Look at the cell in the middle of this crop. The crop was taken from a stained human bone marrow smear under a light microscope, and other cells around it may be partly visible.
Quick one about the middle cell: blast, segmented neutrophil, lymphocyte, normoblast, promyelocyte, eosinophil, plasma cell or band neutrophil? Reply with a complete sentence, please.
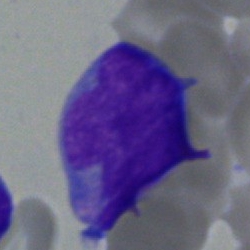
The cell at the heart of this crop is a blast.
